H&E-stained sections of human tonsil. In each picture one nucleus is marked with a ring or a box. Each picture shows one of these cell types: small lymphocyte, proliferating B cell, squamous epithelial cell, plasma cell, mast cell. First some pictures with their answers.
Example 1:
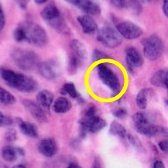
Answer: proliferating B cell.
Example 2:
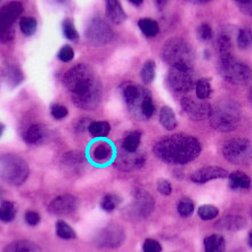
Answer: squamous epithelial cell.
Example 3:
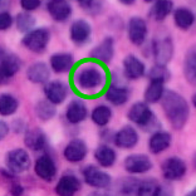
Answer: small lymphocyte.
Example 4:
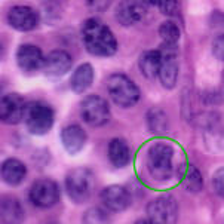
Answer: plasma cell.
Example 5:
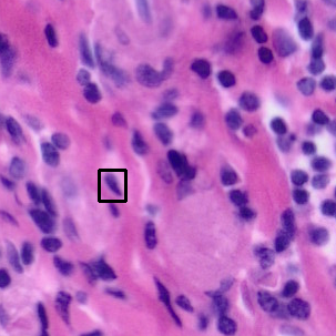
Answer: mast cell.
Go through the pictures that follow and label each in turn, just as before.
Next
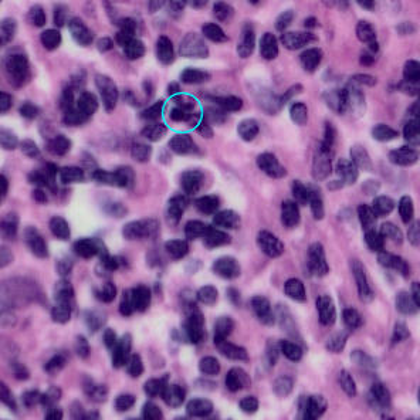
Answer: small lymphocyte.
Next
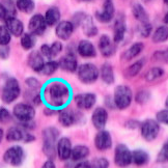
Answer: small lymphocyte.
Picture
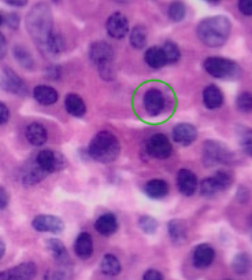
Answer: plasma cell.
